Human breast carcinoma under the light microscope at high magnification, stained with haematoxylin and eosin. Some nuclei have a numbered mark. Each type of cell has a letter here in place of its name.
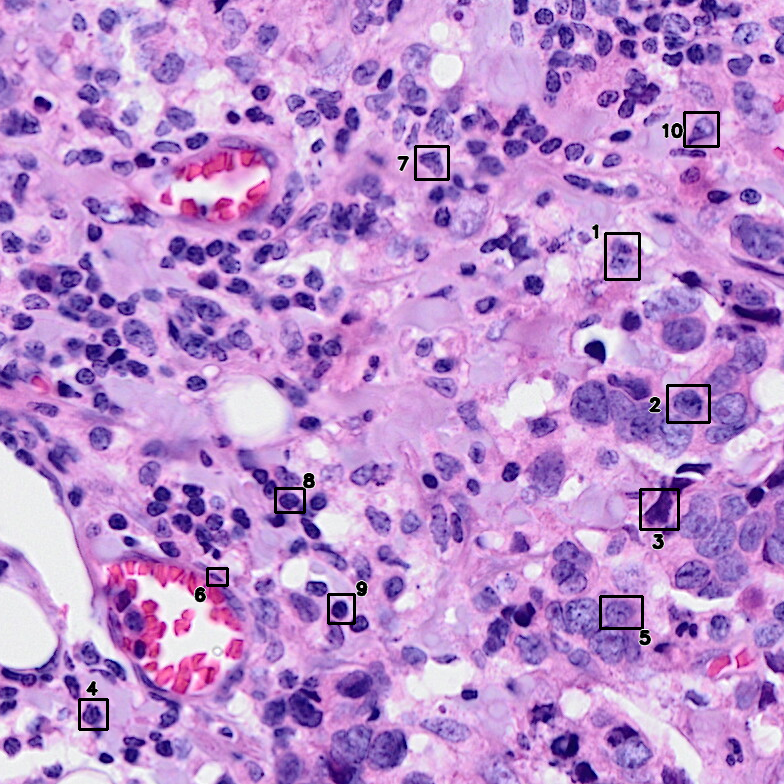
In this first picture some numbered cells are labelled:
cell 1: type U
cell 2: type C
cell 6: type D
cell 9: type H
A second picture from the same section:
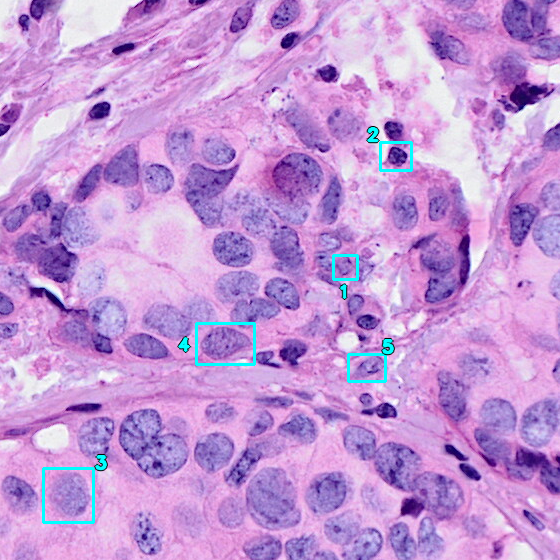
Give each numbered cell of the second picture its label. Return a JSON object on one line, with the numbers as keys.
{"1": "type D", "2": "type H", "3": "type C", "4": "type C", "5": "type U"}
